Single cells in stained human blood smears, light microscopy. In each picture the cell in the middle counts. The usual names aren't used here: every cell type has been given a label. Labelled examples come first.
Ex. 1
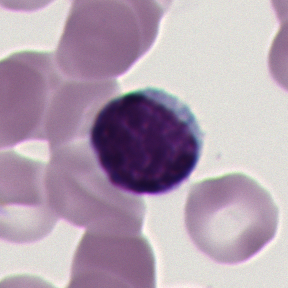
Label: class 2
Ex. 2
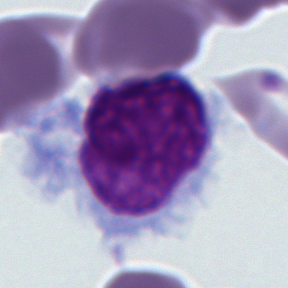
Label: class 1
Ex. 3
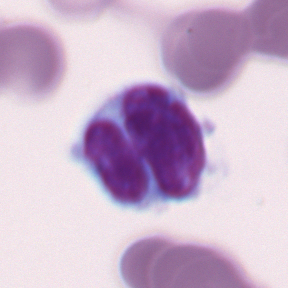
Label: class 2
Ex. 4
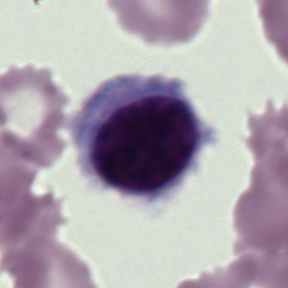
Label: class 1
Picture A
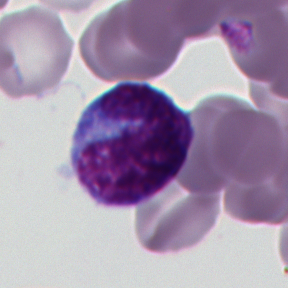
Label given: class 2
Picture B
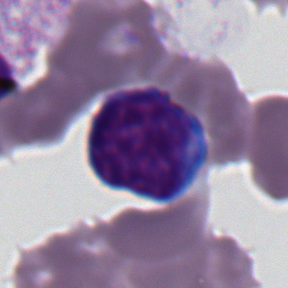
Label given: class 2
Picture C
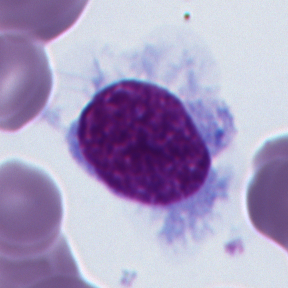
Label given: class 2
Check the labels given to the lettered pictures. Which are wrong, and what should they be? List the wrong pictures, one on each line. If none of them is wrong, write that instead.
C: not class 2 but class 1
